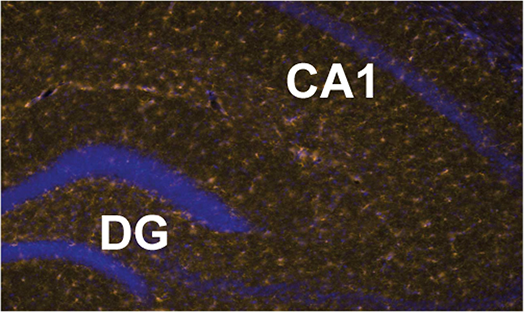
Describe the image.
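Section of the hippocampus at low magnification, with blue nuclei crowded into a curved upper band and a folded lower band. Small yellow-orange cells with short fine processes are spread fairly evenly through the tissue between and around these bands.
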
